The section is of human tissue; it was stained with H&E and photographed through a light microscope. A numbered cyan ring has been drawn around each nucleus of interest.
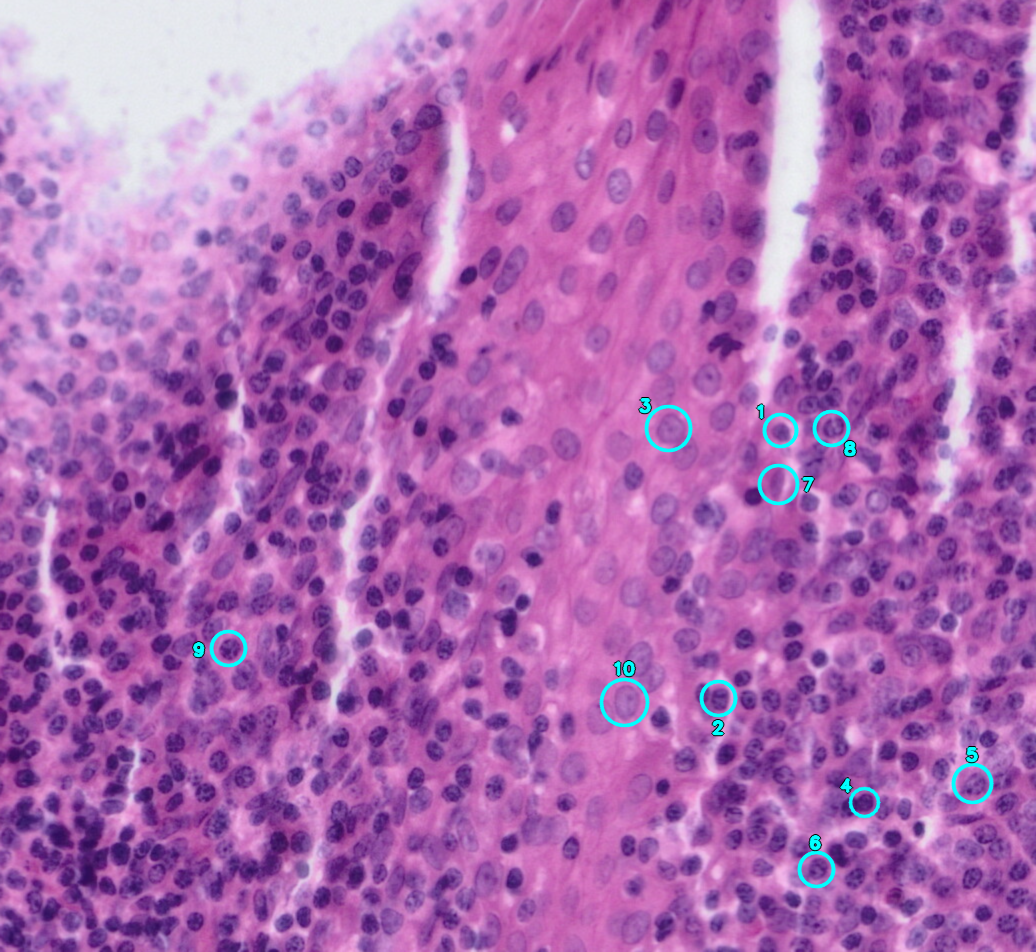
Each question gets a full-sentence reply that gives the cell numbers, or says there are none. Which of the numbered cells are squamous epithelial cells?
The cells which carry the numbers 1, 3, 7 and 10 are squamous epithelial cells.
